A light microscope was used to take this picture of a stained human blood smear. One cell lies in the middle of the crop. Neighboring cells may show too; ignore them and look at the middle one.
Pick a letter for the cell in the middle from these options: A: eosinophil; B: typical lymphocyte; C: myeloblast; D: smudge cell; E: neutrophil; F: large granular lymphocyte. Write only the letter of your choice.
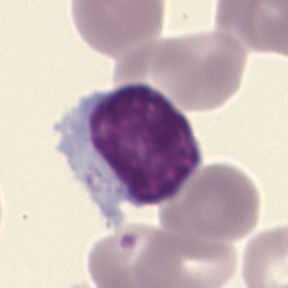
F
